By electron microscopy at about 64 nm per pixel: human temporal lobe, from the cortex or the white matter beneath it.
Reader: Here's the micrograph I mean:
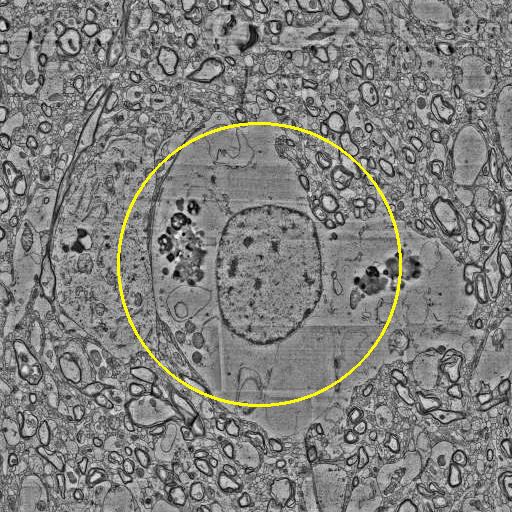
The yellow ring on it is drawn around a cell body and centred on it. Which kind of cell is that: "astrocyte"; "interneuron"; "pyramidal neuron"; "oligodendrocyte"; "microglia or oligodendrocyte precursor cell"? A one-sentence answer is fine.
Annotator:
The ring is centred on an astrocyte.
